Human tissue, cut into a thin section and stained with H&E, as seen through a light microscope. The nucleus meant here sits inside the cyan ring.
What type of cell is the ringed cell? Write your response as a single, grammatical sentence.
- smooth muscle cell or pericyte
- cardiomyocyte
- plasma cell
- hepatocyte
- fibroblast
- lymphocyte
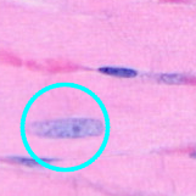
To be brief about it, the ringed cell is a cardiomyocyte.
